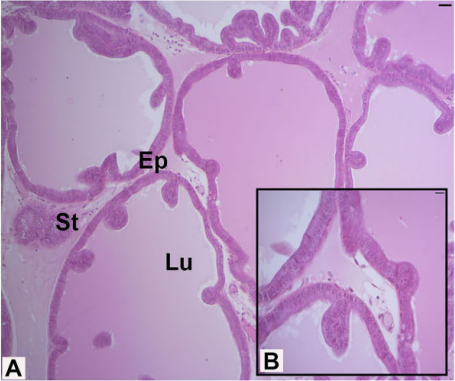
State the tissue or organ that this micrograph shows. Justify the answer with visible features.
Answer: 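Ventral prostate. Large glandular acini with wide lumens filled with pale pink secretion. Acini lined by a single folded layer of epithelium. Thin strands of loose stroma between acini.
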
